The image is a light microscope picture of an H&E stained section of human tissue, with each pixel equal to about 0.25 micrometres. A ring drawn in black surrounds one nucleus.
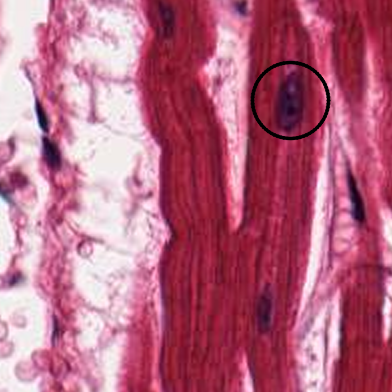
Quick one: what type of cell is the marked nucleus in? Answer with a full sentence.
Within a cardiomyocyte lies the marked nucleus.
